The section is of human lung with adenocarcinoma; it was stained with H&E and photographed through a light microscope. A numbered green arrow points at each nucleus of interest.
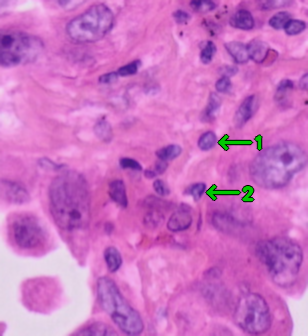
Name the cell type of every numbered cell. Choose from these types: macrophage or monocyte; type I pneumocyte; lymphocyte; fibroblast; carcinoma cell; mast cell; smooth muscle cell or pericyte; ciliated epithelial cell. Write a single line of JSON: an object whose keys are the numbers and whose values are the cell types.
{"1": "mast cell", "2": "lymphocyte"}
